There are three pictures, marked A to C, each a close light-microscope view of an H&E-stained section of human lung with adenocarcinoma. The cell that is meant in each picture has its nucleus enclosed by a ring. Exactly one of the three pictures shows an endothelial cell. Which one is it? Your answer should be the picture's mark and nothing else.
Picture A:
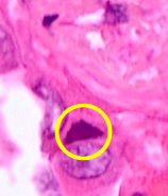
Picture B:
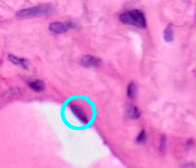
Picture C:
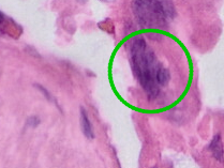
B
